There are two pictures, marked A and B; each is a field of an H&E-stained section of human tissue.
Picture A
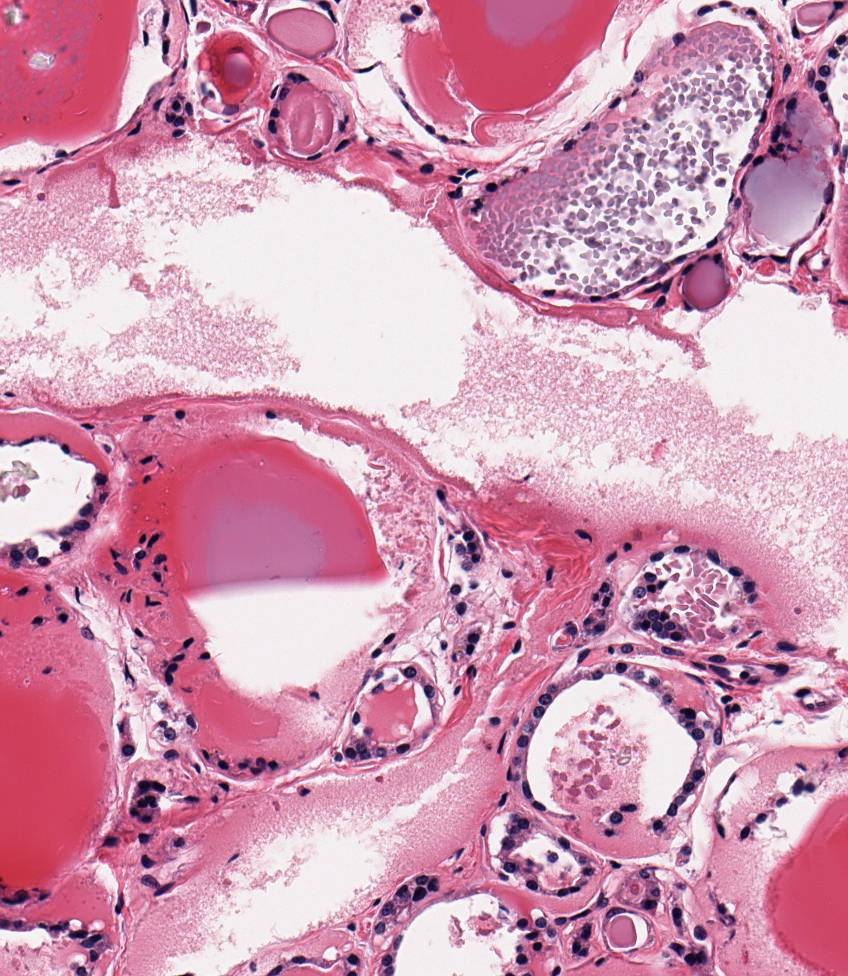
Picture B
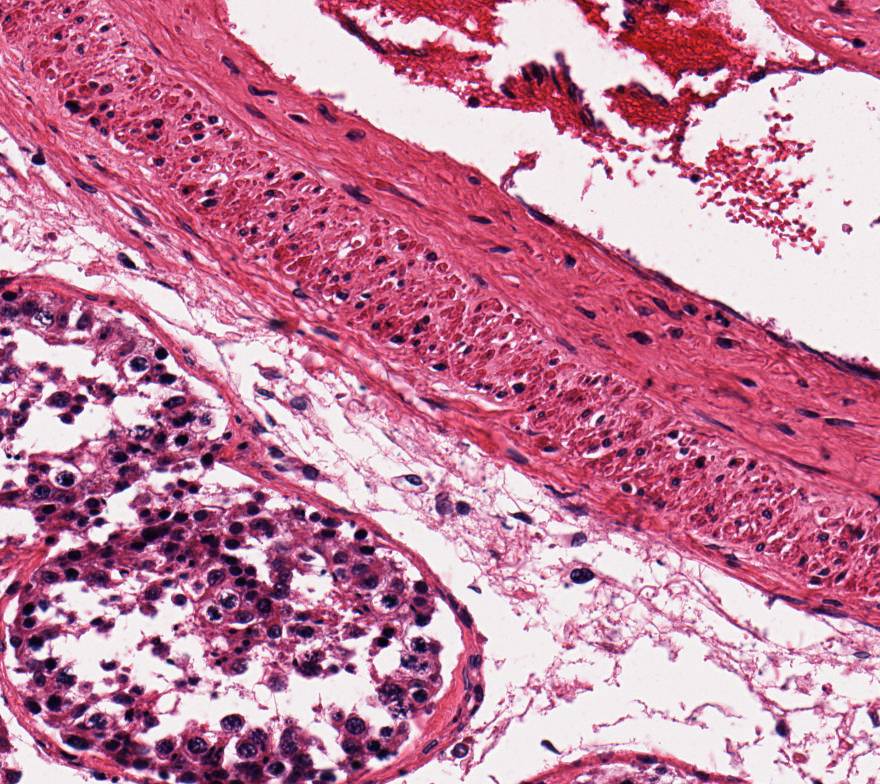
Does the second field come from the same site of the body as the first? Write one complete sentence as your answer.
No. Picture A comes from the thyroid, whereas picture B comes from the testis.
